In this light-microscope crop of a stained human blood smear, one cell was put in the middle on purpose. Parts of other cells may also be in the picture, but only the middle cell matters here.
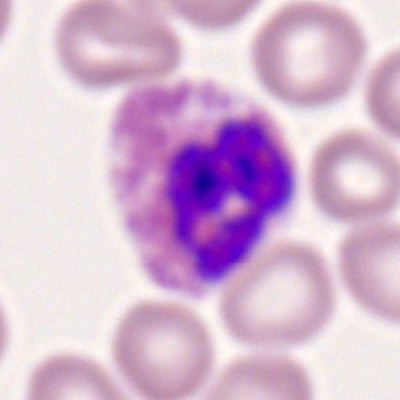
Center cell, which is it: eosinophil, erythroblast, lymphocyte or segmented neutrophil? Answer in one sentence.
In the crop, the cell of interest at the centre is an eosinophil.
